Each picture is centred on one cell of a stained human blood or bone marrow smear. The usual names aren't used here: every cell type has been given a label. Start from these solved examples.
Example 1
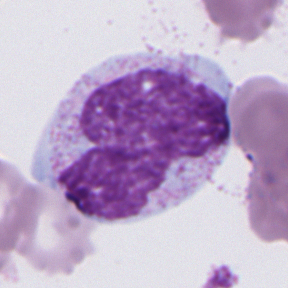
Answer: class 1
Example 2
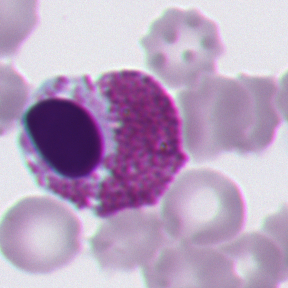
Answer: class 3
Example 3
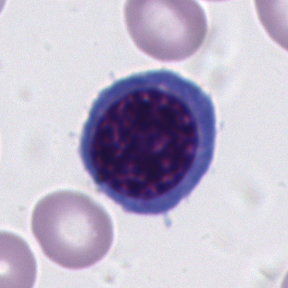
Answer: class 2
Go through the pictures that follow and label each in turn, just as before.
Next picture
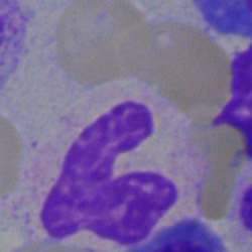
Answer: class 1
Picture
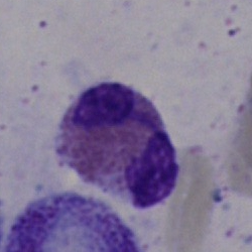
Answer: class 3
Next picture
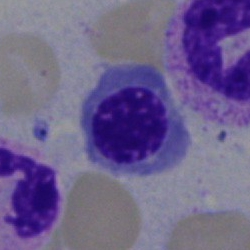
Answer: class 2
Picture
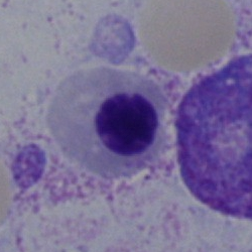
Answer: class 2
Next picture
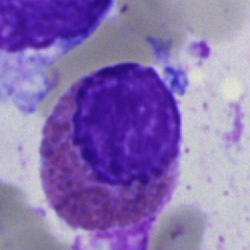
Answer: class 3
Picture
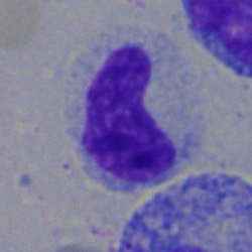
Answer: class 1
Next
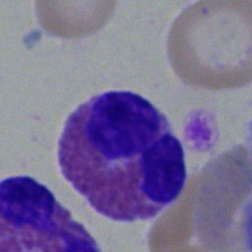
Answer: class 3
